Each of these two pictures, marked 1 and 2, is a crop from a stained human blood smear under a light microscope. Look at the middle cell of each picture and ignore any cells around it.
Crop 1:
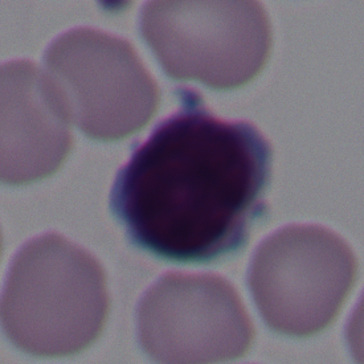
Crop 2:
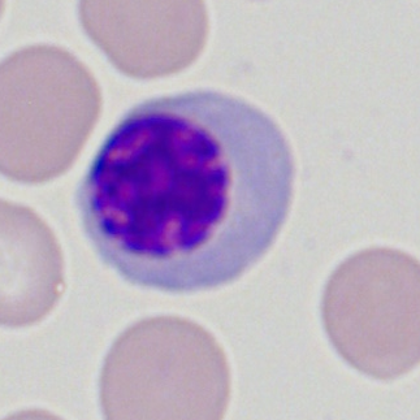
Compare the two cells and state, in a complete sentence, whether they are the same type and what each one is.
No, look again: crop 1 shows a lymphocyte, and crop 2 shows a normoblast.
